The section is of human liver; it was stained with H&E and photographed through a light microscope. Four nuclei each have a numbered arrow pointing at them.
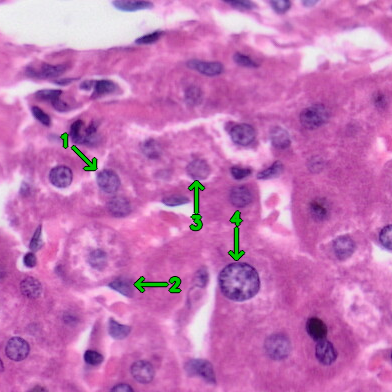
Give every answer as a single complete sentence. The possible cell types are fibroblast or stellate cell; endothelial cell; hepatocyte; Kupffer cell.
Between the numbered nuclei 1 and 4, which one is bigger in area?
It is nucleus 4, which covers about 2.5 times the area of nucleus 1.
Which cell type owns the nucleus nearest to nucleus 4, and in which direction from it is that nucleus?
The closest nucleus belongs to a Kupffer cell and sits to the left of nucleus 4.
